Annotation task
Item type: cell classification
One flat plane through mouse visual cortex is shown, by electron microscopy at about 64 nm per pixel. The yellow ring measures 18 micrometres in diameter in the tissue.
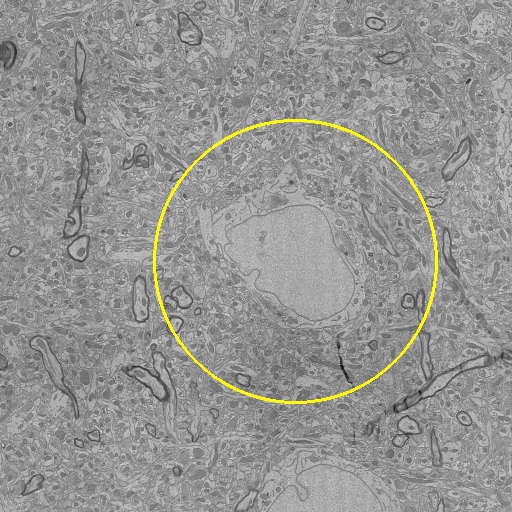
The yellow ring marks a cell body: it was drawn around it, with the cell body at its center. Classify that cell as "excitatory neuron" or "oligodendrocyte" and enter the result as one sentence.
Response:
The ring's center falls on an excitatory neuron.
